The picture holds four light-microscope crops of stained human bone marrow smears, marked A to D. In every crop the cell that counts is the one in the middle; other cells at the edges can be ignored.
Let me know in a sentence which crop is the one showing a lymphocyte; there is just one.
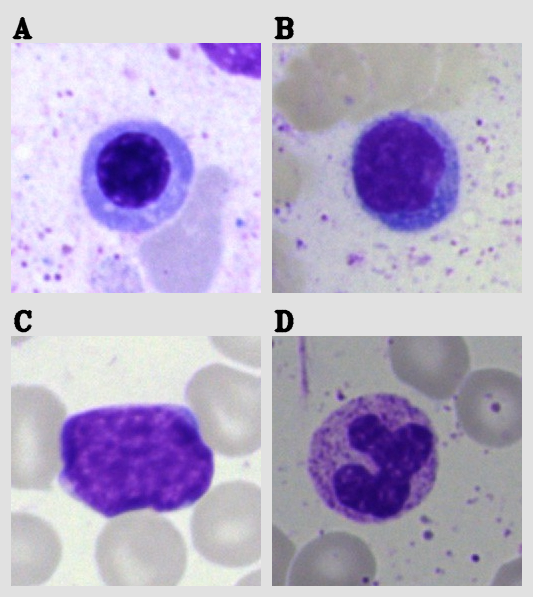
Look at crop B; that is the one with a lymphocyte in its center.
